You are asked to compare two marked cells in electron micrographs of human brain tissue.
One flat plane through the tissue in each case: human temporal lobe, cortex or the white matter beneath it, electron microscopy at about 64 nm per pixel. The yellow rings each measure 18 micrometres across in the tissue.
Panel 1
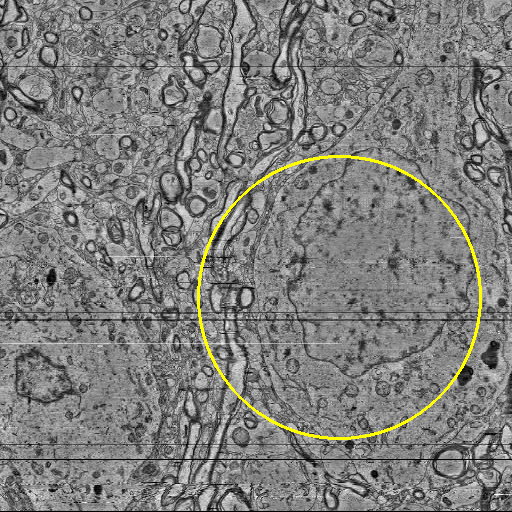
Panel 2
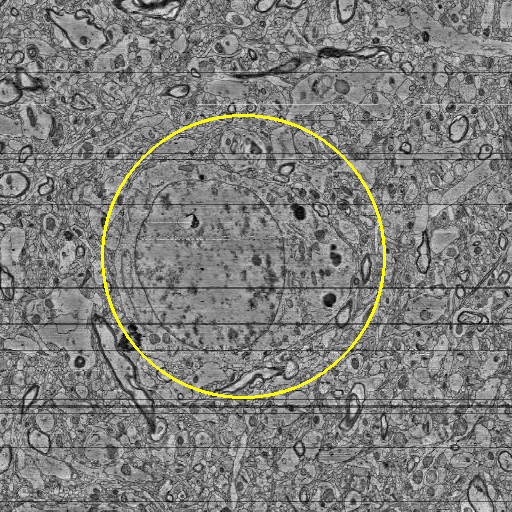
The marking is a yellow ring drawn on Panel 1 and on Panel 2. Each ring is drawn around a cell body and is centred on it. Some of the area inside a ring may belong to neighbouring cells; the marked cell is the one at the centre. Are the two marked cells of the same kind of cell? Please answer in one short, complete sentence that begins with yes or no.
Yes, the two marked cells are of the same kind.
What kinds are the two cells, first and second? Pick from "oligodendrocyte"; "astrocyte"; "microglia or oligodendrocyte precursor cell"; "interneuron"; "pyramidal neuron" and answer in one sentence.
In each picture the ringed cell is a pyramidal neuron.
